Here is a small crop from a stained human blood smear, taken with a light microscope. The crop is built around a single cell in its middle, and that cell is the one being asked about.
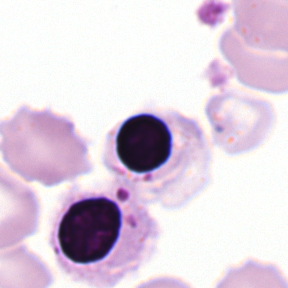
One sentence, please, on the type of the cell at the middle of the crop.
The cell of interest, located centrally, is an erythroblast.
